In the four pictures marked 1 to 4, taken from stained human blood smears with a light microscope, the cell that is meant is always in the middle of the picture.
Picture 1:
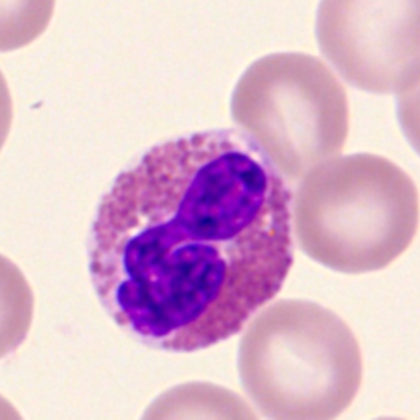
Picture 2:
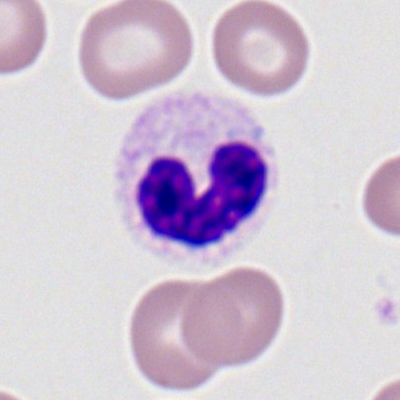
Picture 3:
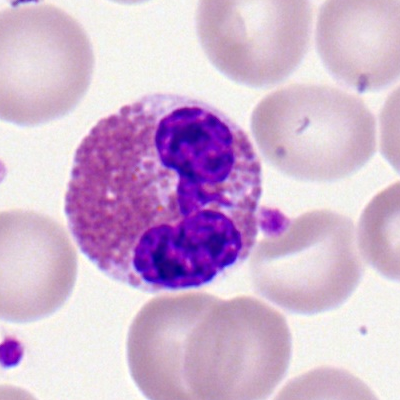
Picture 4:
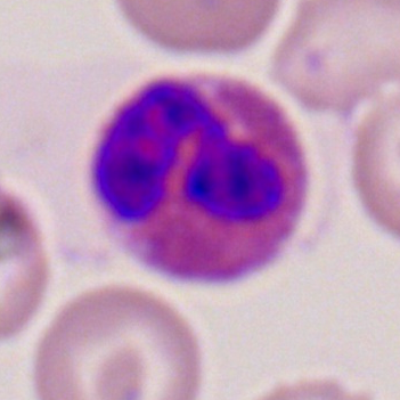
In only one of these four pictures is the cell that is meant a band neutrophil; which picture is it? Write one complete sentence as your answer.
The band neutrophil is the one in picture 2.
